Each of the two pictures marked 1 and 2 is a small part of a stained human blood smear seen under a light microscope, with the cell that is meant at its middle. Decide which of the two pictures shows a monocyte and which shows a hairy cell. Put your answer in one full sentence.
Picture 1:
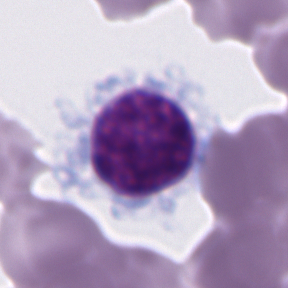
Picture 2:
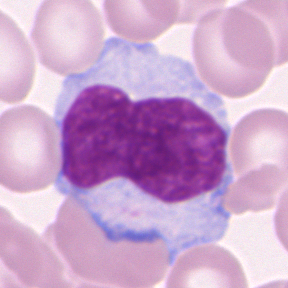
Picture 1 shows a hairy cell and picture 2 shows a monocyte.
